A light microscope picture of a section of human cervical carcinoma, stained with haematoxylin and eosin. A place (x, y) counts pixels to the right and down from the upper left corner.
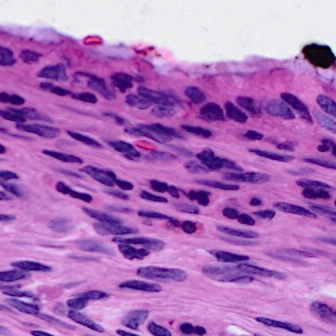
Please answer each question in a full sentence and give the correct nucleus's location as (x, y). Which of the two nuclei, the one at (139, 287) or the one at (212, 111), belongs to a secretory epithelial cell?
Between the pair, the nucleus at (212, 111) belongs to a secretory epithelial cell.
